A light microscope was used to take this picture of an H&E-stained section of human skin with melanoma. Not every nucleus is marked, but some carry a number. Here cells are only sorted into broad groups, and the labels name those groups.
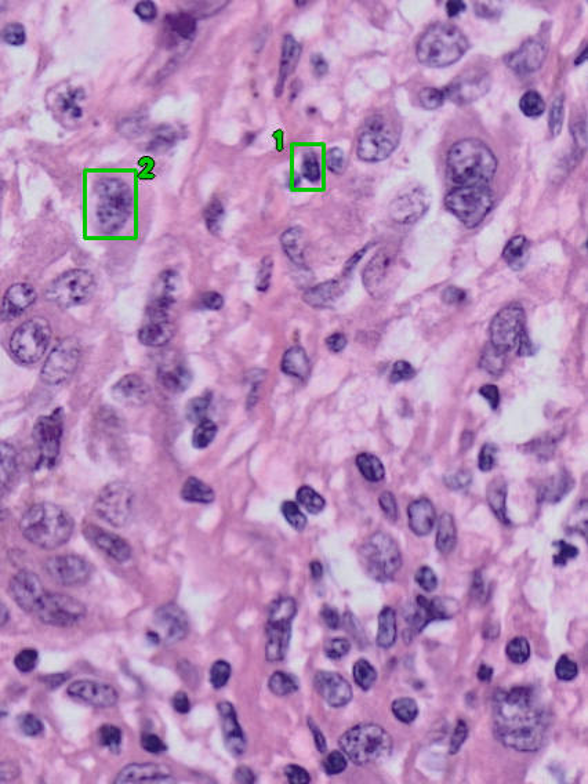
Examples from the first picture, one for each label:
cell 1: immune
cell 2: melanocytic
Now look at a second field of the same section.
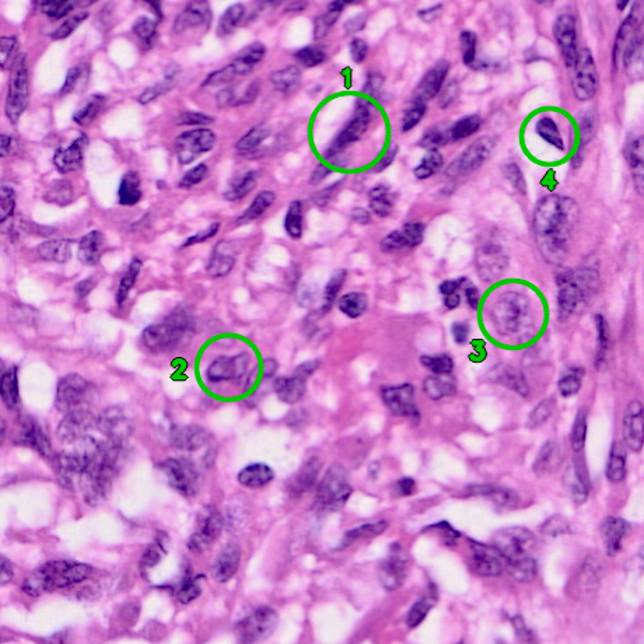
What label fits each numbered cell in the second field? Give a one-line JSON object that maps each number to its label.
{"1": "melanocytic", "2": "melanocytic", "3": "melanocytic", "4": "immune"}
